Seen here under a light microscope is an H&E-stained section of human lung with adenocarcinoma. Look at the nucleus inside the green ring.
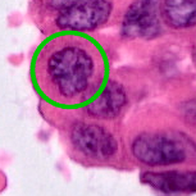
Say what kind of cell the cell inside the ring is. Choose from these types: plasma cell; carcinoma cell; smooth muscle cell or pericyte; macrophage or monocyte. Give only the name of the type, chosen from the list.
carcinoma cell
